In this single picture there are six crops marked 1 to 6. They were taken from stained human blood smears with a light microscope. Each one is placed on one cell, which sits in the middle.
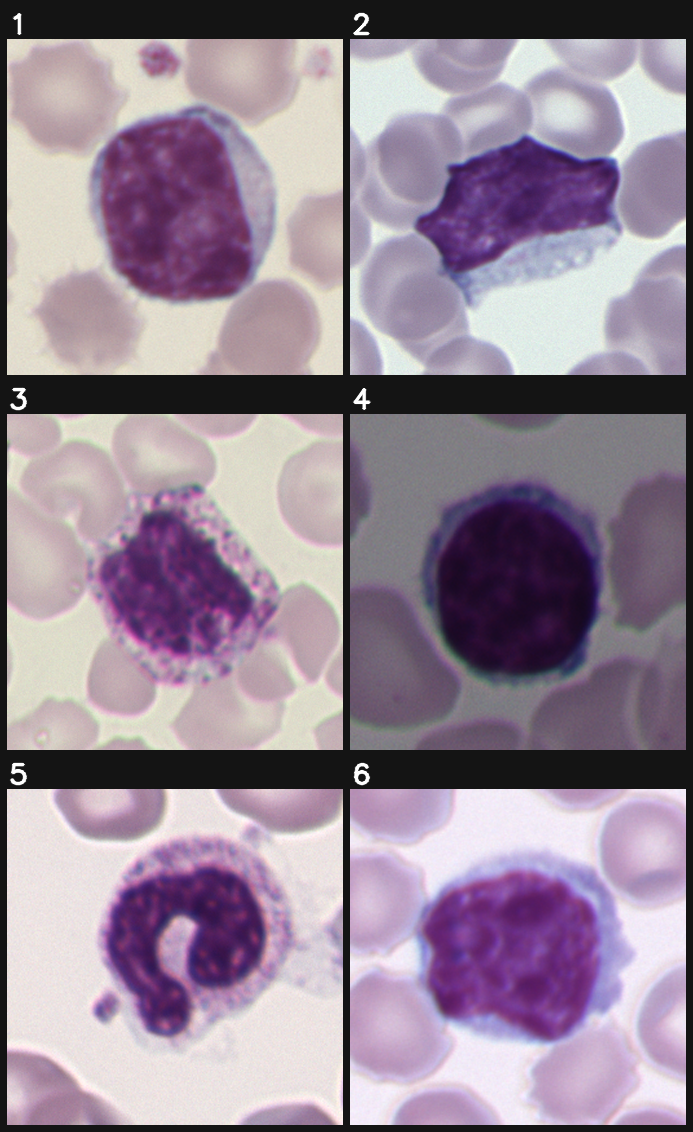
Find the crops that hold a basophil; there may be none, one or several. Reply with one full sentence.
Only crop 3 has a basophil as its central cell.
